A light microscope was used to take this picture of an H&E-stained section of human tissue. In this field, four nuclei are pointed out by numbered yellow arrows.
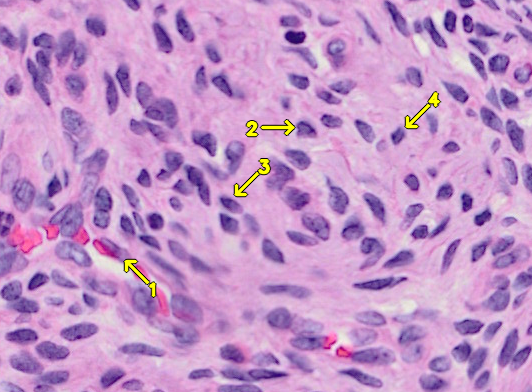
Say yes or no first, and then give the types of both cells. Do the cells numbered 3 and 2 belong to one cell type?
Yes, cells 3 and 2 both count as fibroblasts.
